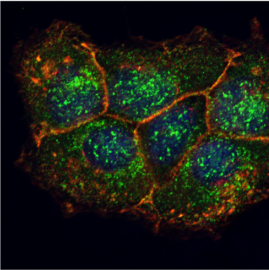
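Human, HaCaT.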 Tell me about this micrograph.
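This is a small compact colony of keratinocytes with a sharp free edge against the dark background. The cells are polygonal, each with a rounded blue nucleus, and their mutual borders are traced by red lines, with some yellow where the colours meet. Abundant green puncta and small clusters crowd the cytoplasm, concentrated around and over the nuclei, so the interior of each cell looks speckled green. At the colony margin the red outline is ragged, with fine protrusions along the free edge rather than a smooth contour.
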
